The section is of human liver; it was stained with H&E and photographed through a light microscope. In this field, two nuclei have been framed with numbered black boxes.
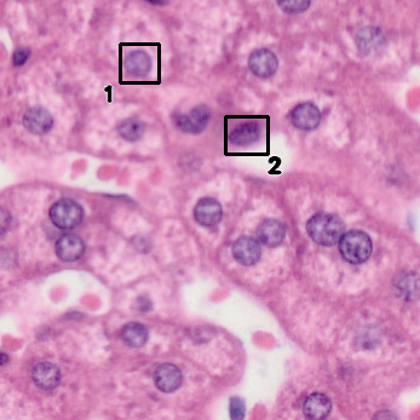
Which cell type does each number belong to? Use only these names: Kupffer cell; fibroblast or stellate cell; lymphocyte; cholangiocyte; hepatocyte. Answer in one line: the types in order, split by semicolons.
hepatocyte; Kupffer cell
